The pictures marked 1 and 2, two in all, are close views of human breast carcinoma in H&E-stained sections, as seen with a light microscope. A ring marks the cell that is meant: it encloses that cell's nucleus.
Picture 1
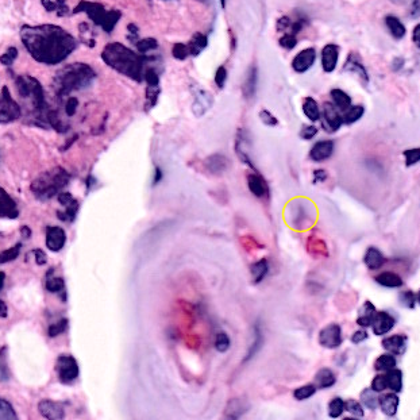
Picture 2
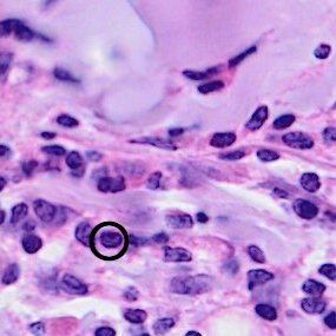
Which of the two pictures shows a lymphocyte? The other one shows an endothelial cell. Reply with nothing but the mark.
2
